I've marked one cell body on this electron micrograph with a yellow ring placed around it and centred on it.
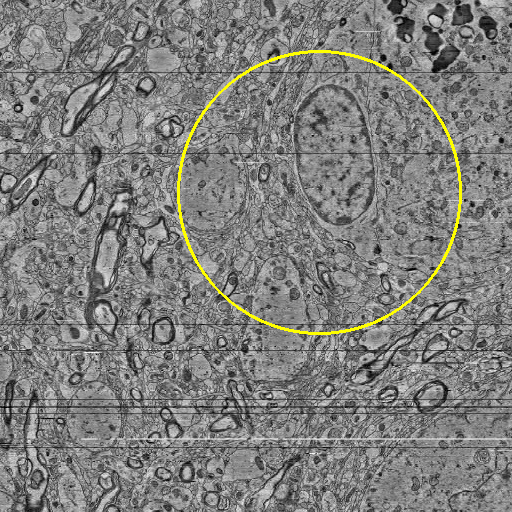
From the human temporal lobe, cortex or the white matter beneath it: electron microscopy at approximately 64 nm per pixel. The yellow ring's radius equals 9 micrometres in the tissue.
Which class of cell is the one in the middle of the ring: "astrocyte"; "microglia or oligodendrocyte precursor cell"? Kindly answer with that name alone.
microglia or oligodendrocyte precursor cell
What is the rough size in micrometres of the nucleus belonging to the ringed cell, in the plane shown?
Approximately 9 by 5 micrometers, which makes the nucleus clearly longer than it is wide in this plane.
